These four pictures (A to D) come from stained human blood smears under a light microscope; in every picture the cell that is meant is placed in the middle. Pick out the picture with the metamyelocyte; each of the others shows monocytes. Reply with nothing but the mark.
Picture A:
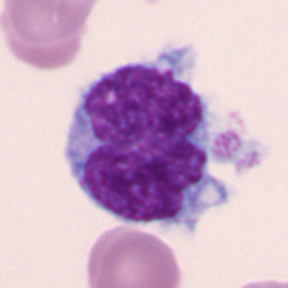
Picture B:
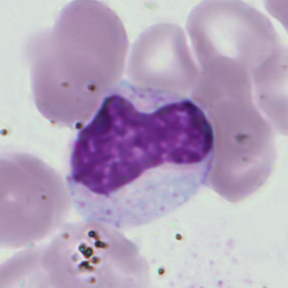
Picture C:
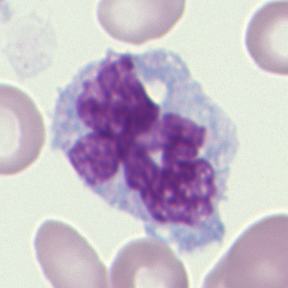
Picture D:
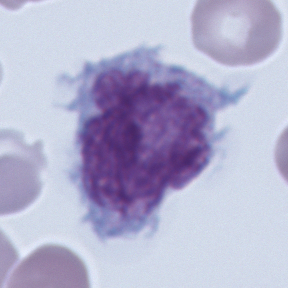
B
